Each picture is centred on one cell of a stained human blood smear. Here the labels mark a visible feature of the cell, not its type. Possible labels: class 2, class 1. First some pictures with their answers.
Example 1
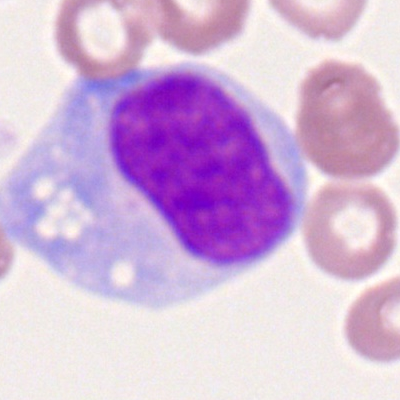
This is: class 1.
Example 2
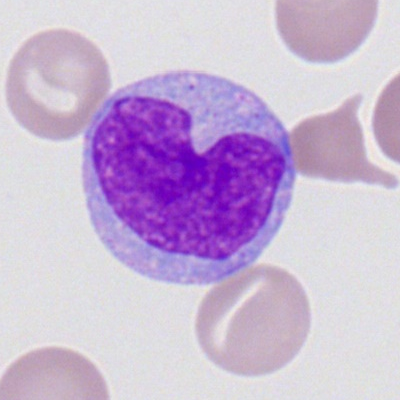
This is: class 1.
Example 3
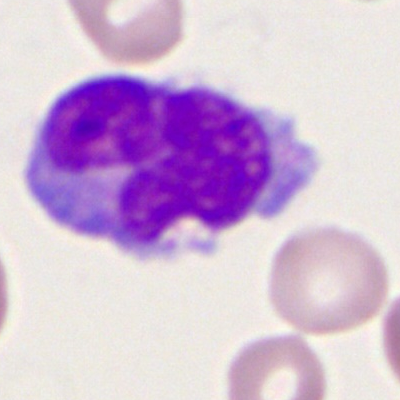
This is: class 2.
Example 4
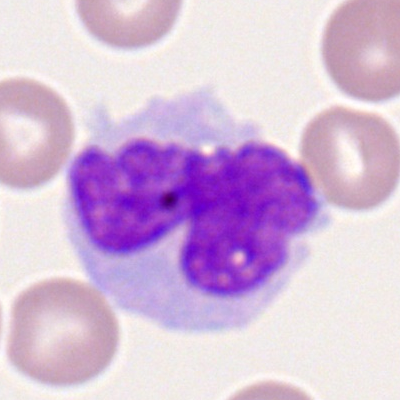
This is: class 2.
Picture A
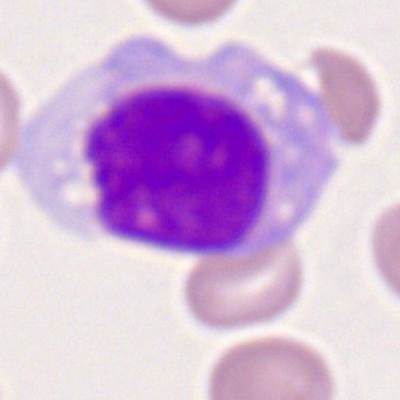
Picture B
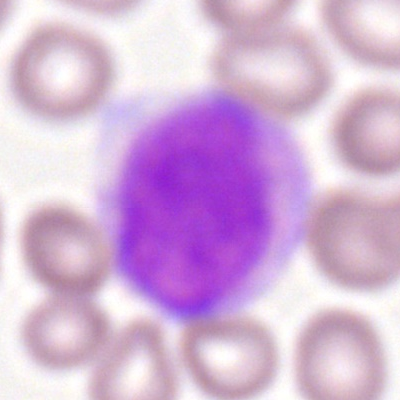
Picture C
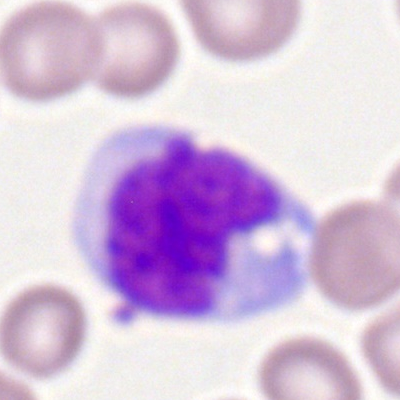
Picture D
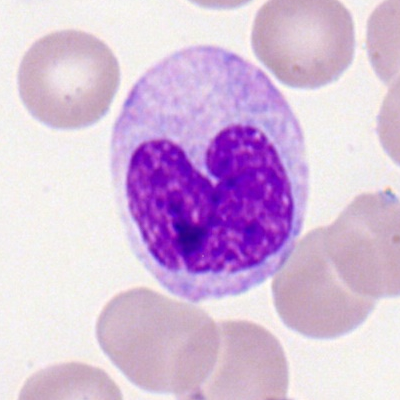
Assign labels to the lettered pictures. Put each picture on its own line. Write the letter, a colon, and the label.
A: class 1.
B: class 1.
C: class 1.
D: class 1.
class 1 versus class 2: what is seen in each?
class 1, single compact nucleus; class 2, lobed nucleus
